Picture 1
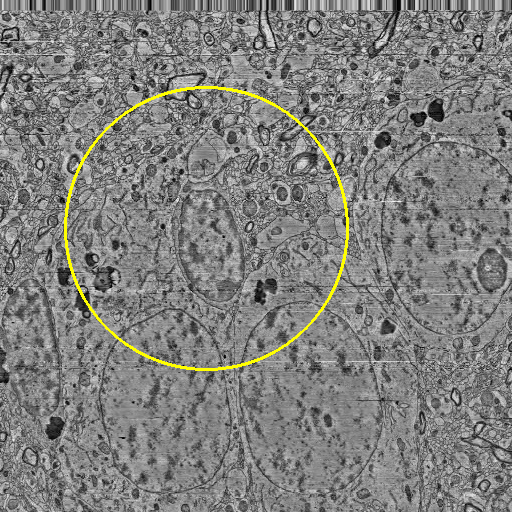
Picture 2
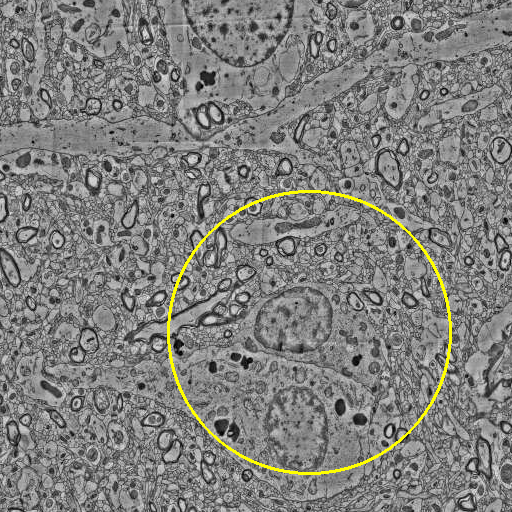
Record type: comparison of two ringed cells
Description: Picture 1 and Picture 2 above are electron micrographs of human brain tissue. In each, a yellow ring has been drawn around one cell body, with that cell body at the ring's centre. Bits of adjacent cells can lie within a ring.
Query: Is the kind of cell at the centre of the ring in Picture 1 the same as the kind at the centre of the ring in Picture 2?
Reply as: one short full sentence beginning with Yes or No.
Yes, the two ringed cells are of the same kind.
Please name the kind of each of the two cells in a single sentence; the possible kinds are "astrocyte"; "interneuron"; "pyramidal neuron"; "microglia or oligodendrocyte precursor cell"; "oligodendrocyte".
In both pictures the ring is centred on an oligodendrocyte.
